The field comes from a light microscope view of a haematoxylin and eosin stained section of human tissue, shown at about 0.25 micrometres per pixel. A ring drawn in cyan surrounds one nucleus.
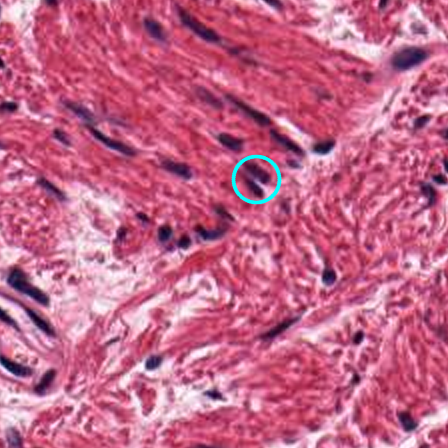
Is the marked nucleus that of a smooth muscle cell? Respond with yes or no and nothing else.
yes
